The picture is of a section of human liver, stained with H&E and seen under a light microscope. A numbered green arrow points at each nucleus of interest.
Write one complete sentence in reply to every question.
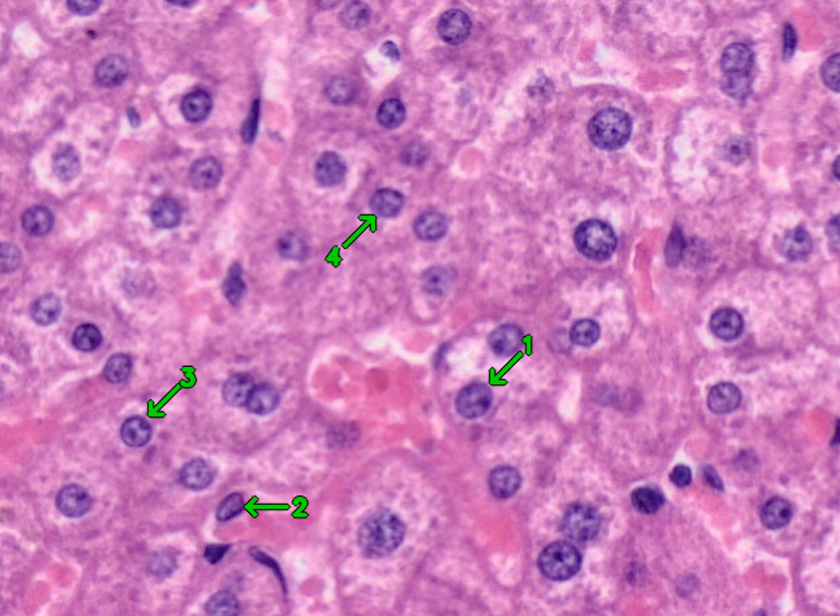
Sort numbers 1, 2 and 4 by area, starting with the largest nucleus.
Largest first, the order by area is 1, 4, 2.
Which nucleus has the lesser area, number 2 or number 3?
It is nucleus 2; nucleus 3 has about 1.5 times its area.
